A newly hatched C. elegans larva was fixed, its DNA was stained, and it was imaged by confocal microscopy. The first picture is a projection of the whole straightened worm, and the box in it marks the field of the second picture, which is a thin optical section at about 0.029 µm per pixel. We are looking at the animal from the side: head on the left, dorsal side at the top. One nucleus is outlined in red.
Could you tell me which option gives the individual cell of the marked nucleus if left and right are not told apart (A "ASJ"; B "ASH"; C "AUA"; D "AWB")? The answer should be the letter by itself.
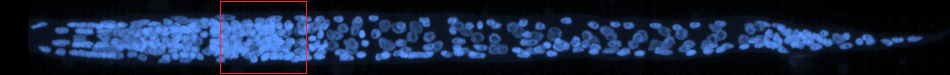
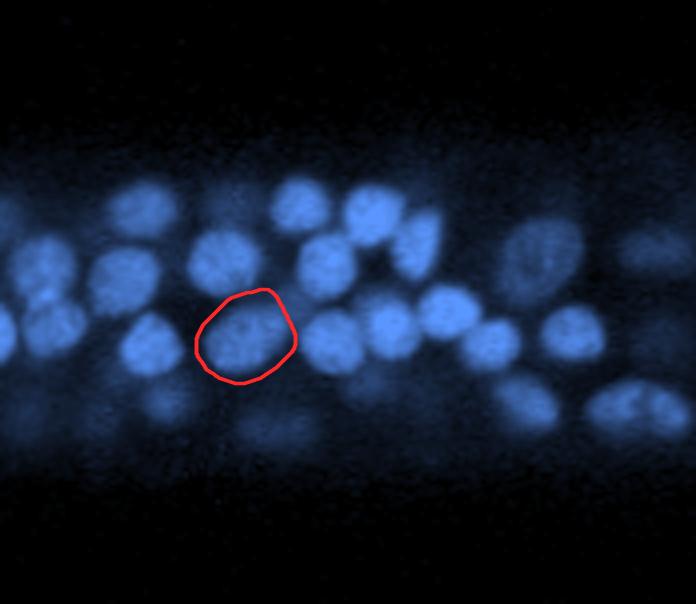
A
